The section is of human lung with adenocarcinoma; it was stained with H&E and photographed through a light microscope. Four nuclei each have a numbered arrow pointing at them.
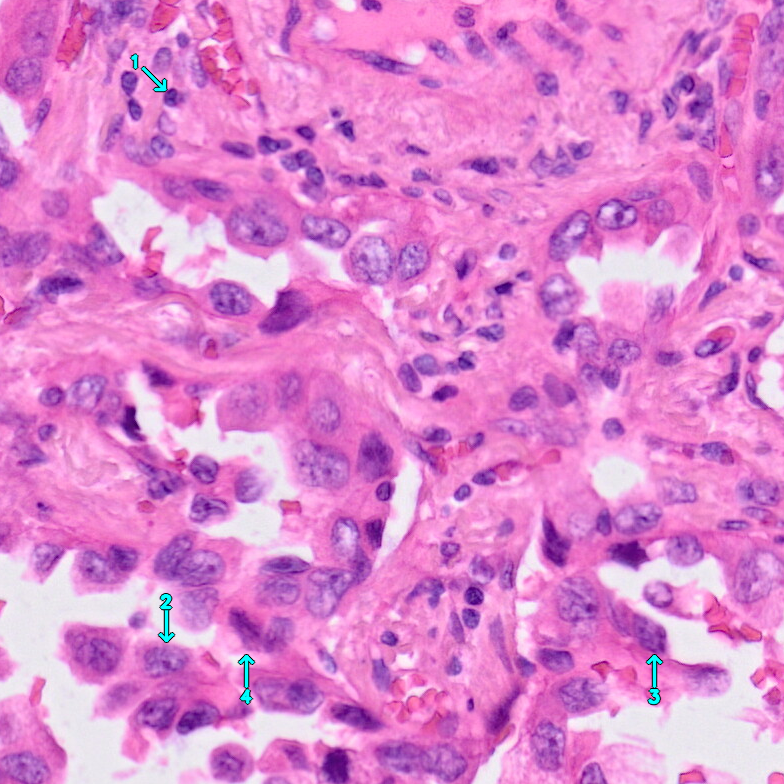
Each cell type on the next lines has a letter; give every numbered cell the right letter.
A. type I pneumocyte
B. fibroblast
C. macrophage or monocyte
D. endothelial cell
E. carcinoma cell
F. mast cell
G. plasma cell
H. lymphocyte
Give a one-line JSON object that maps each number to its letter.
{"1": "H", "2": "E", "3": "E", "4": "E"}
